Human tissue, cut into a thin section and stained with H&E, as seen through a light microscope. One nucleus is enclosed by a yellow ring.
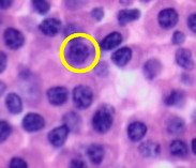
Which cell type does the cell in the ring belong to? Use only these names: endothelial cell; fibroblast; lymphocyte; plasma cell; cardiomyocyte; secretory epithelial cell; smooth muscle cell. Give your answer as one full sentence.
The correct response here is that the cell in the ring is a plasma cell.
